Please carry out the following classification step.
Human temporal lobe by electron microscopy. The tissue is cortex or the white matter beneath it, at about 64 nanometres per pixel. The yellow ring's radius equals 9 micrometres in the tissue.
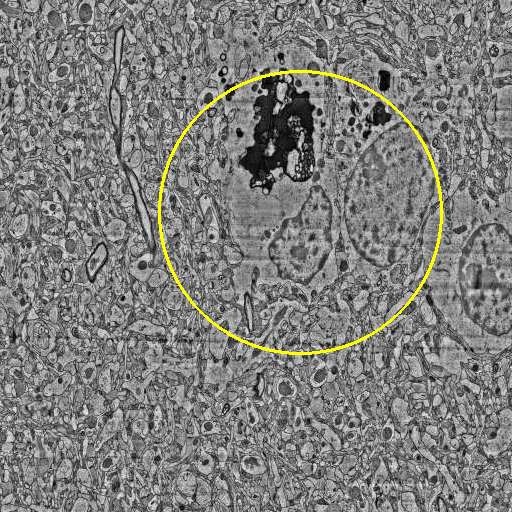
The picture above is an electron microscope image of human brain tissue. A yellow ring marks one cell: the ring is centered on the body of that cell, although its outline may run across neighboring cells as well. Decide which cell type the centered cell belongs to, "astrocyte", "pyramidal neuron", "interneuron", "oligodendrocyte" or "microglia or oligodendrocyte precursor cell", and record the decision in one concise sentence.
The cell centered in the yellow ring is an astrocyte.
